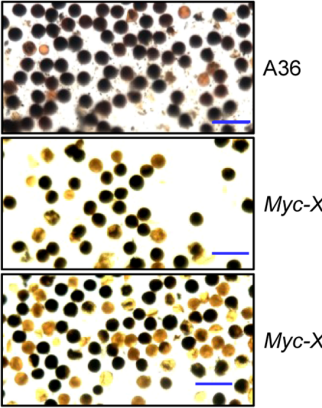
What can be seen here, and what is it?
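Loose pollen grains lie scattered as separate, round, uniformly sized bodies. In each field some grains stain dark brown to black throughout, while others stay pale yellow, amber or light brown and look partly translucent. Some of the pale grains look shrunken or irregular in outline. The proportion of pale grains differs between the stacked fields, with the top field mostly dark and the lower fields holding more pale grains.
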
